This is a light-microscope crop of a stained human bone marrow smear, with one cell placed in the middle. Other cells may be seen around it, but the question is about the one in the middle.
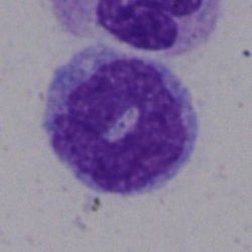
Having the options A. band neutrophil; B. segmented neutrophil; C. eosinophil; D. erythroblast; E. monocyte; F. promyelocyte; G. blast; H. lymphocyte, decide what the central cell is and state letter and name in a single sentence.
Option E is accurate; the centrally placed cell is a monocyte.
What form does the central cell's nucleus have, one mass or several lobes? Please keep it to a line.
The nucleus holds together as a single compact mass, round, oval or kidney-like.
